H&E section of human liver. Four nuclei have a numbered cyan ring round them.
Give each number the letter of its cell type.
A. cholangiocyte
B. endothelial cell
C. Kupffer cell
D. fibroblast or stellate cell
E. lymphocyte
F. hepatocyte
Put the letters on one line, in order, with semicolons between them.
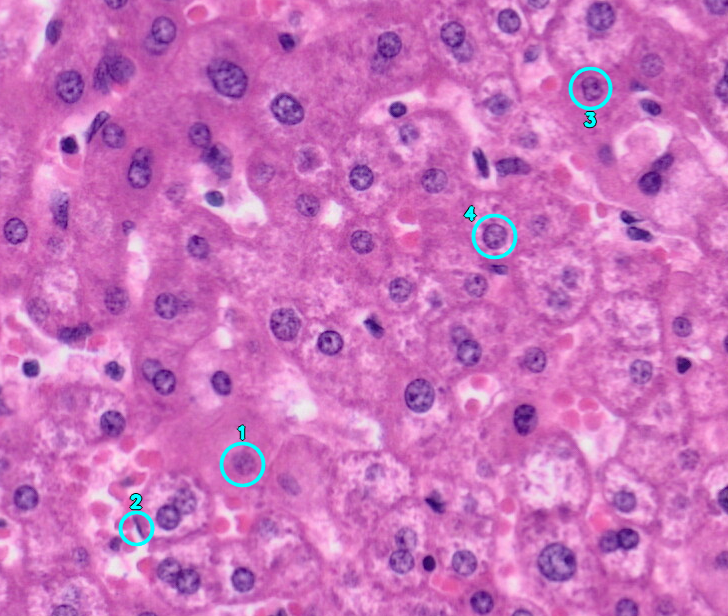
F; B; F; F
